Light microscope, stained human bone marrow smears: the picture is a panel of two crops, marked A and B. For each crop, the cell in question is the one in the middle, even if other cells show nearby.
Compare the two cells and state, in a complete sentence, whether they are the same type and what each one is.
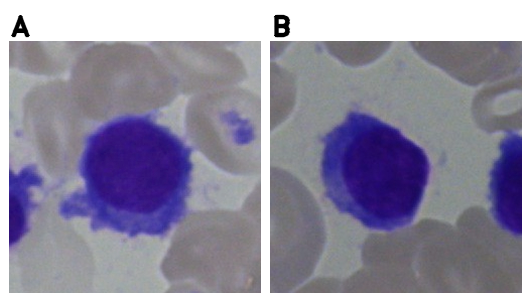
Yes, the centre of both crops is taken up by plasma cells.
